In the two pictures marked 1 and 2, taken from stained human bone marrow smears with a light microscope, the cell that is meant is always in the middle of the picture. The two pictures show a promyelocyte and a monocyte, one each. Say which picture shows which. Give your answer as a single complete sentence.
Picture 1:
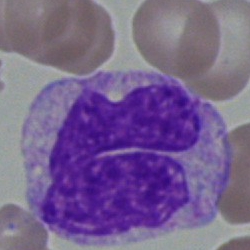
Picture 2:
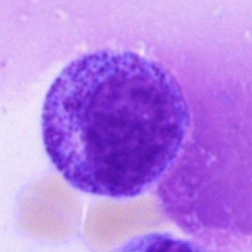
The cell in picture 1 is a monocyte, and the one in picture 2 is a promyelocyte.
